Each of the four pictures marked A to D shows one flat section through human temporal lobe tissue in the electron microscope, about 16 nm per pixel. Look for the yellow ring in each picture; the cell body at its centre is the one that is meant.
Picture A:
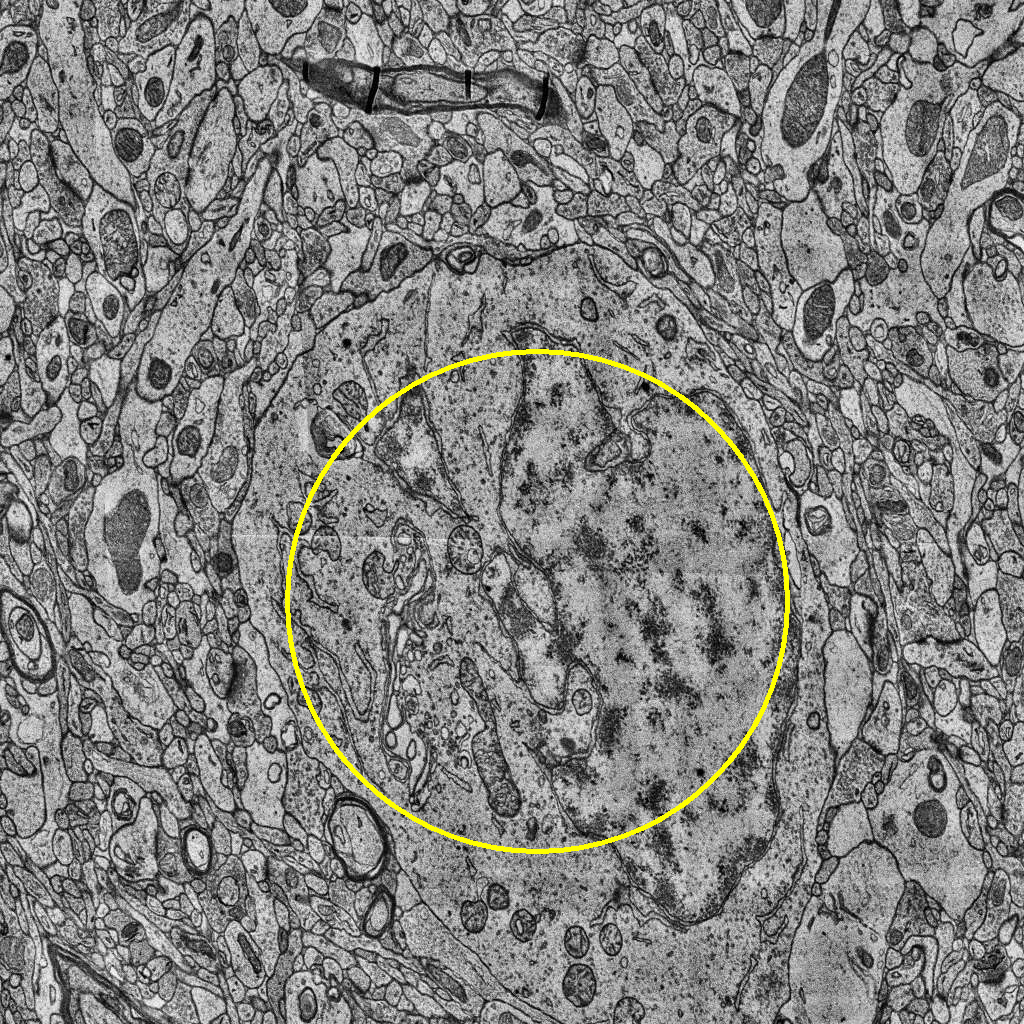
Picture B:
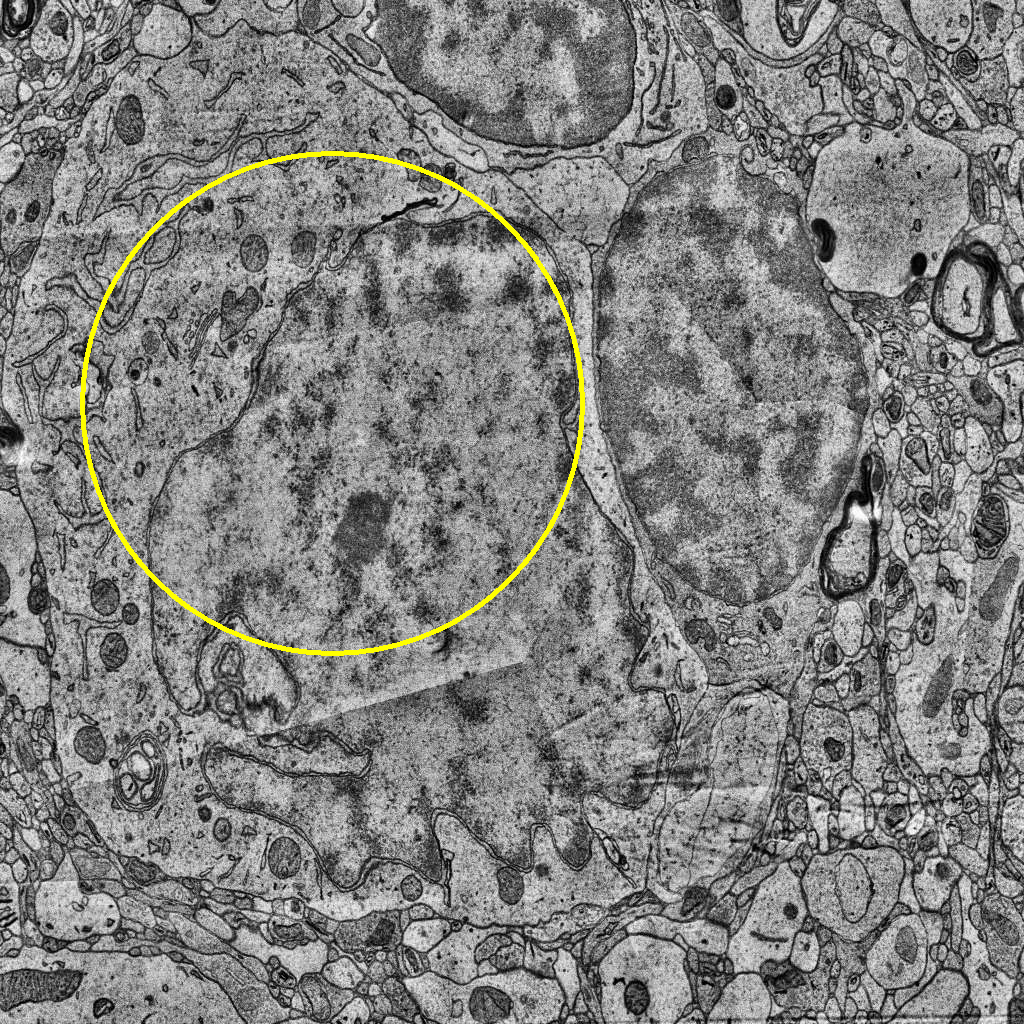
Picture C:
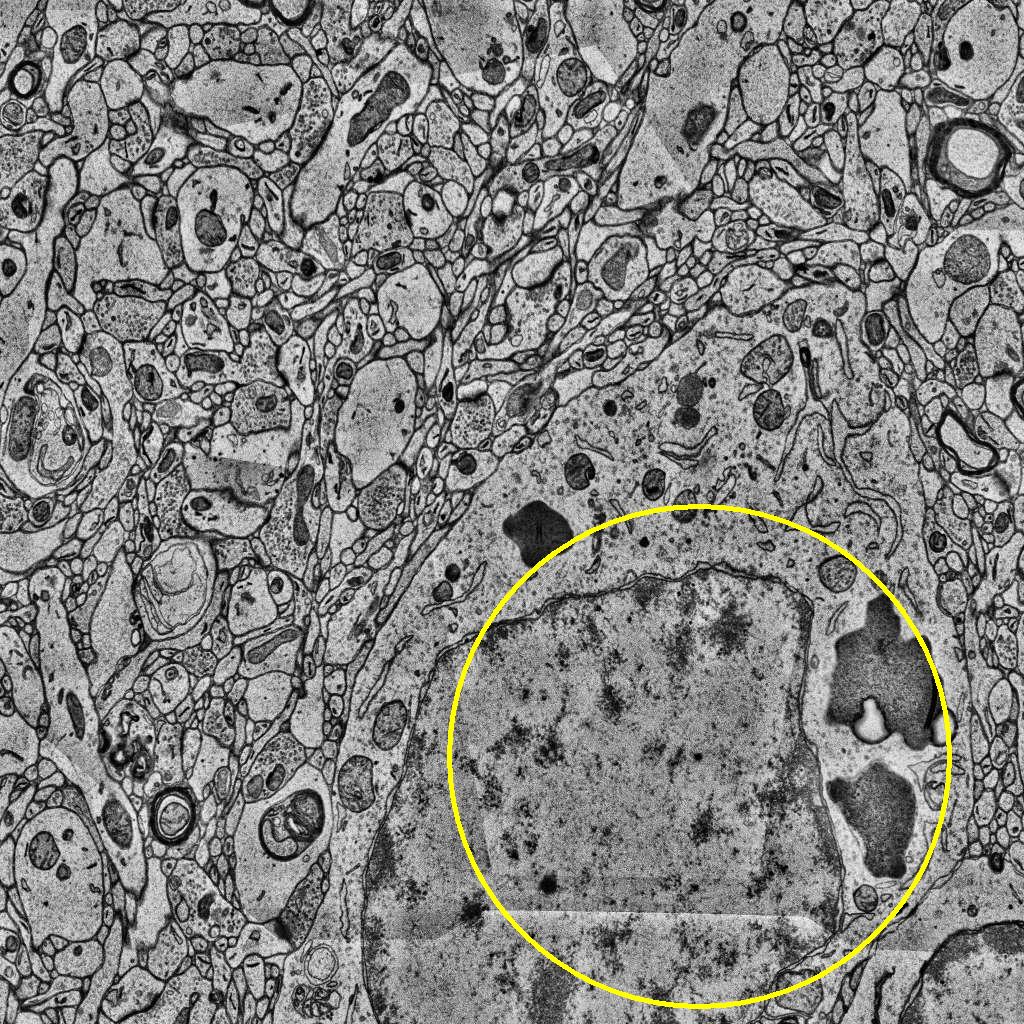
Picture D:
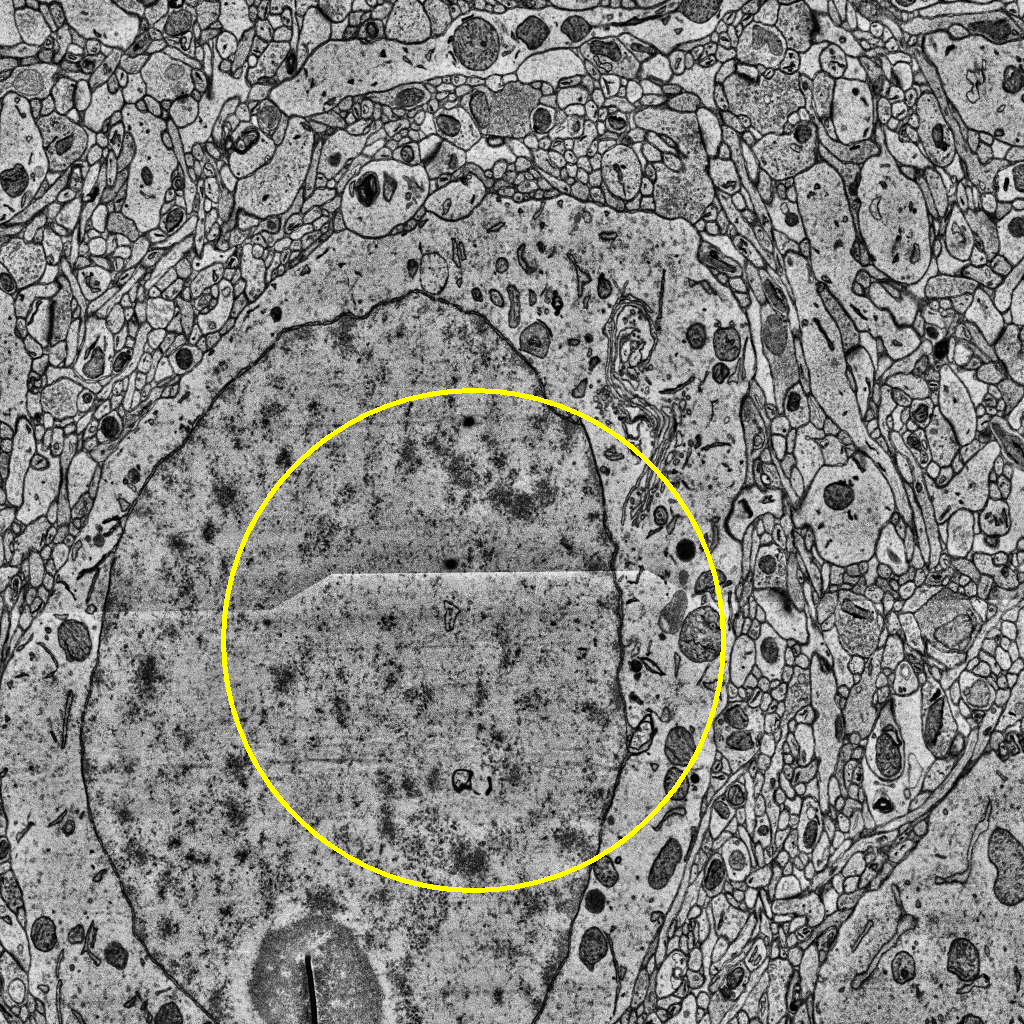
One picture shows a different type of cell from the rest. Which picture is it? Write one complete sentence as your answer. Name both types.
All pictures except D show interneurons; picture D shows a pyramidal neuron.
